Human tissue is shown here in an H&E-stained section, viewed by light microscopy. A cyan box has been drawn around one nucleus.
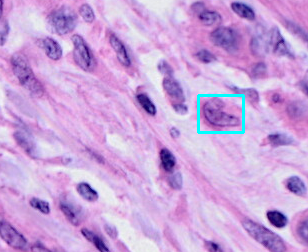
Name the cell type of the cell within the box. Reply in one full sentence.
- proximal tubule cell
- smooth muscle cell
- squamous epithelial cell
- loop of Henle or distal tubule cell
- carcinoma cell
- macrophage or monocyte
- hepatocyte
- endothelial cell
The category to which the cell within the box belongs is that of a macrophage or monocyte.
